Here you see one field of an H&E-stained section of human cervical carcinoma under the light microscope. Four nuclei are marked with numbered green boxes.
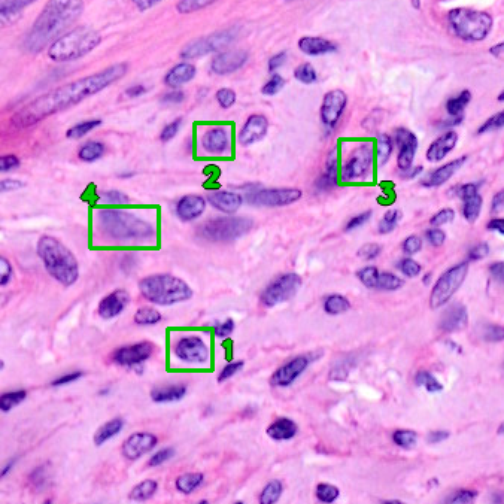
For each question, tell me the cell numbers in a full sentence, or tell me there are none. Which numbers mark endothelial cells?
The cell labelled 3 is an endothelial cell, while the remaining numbered cells are not.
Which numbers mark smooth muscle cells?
Of the cells marked with numbers, cell 2 is the only one that is a smooth muscle cell.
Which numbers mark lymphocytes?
The cell marked by number 1 is a lymphocyte; the other marked cells are not.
